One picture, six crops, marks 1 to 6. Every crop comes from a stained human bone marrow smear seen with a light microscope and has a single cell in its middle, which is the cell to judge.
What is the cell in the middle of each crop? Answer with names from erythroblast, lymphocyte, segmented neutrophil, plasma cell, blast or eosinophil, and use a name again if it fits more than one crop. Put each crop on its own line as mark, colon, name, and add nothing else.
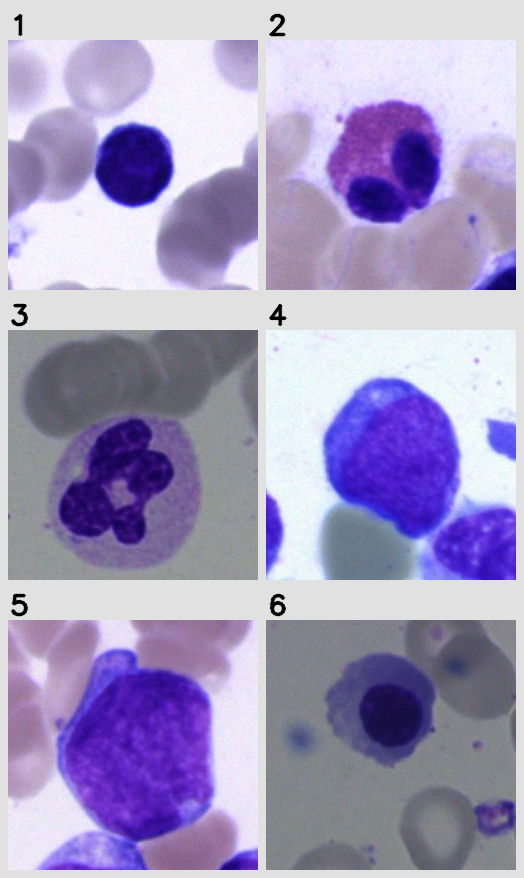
1: lymphocyte
2: eosinophil
3: segmented neutrophil
4: blast
5: blast
6: erythroblast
